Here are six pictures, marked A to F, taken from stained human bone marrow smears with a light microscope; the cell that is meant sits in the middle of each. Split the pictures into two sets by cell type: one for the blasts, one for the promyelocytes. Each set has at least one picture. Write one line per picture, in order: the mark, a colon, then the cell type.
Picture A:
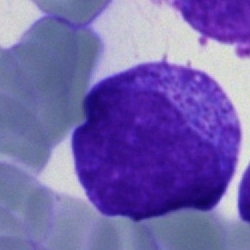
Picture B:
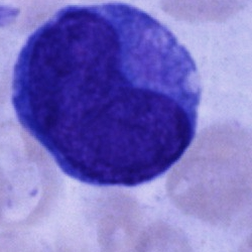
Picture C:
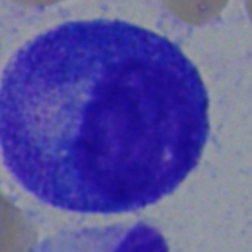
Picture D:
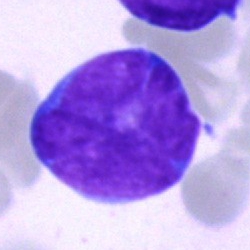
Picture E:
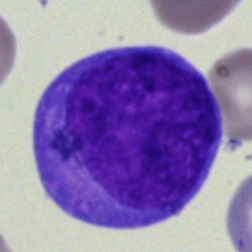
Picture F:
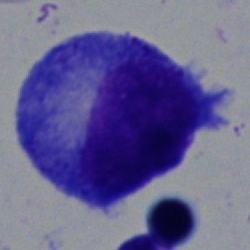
A: blast
B: blast
C: promyelocyte
D: blast
E: blast
F: promyelocyte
